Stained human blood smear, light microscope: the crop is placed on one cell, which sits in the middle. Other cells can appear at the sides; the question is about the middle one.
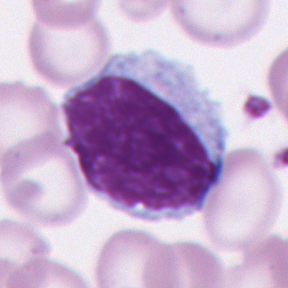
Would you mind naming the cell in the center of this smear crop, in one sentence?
The cell in the middle of the field of view is a lymphocyte.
